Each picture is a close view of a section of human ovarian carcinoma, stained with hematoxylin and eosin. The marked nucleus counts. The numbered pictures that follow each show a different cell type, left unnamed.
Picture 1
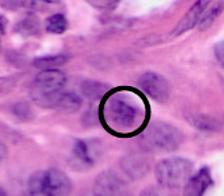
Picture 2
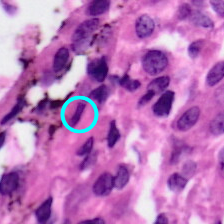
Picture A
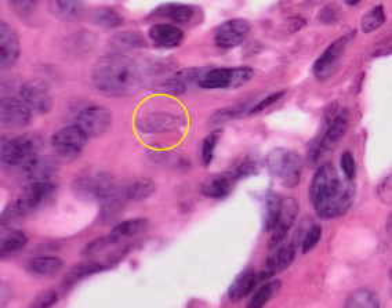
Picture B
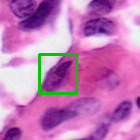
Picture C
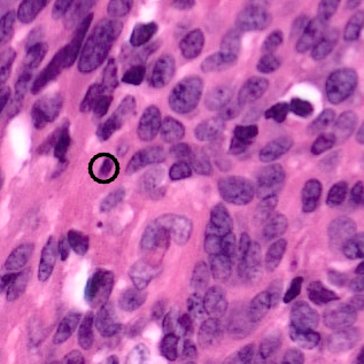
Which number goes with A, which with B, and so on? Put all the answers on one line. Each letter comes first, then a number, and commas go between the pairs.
A 2, B 2, C 2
